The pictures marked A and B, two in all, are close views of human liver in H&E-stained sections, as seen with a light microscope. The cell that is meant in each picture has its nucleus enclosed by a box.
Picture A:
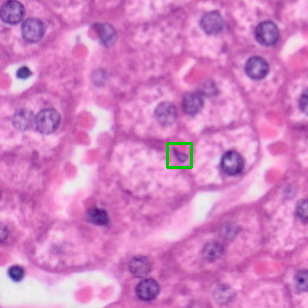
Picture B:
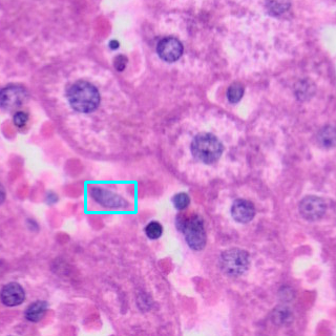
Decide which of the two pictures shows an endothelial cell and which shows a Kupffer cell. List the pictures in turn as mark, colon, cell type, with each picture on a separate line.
A: endothelial cell
B: Kupffer cell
